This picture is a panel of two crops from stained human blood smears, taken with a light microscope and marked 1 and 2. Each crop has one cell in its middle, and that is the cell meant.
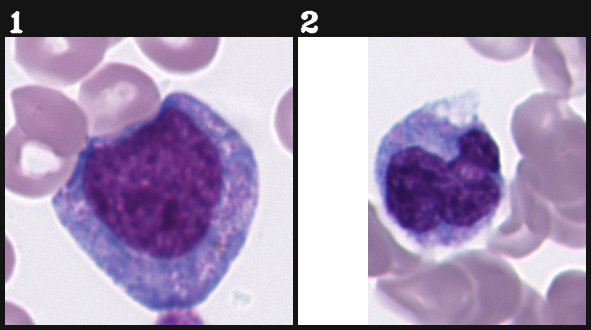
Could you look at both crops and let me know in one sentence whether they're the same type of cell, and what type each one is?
No, the cell in crop 1 is a promyelocyte, and the cell in crop 2 is a monocyte.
